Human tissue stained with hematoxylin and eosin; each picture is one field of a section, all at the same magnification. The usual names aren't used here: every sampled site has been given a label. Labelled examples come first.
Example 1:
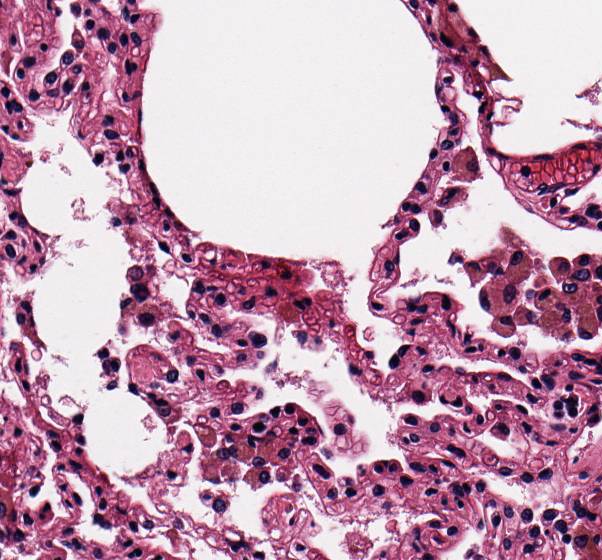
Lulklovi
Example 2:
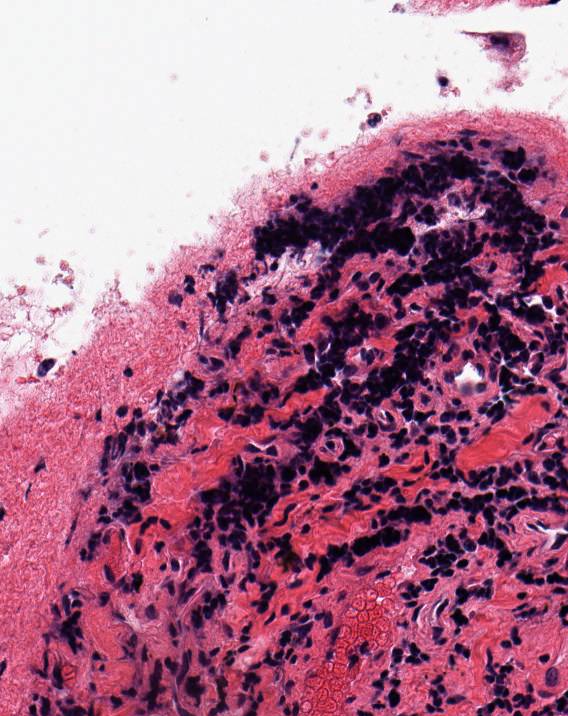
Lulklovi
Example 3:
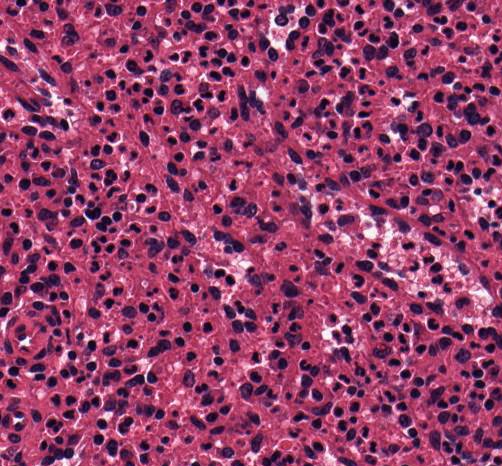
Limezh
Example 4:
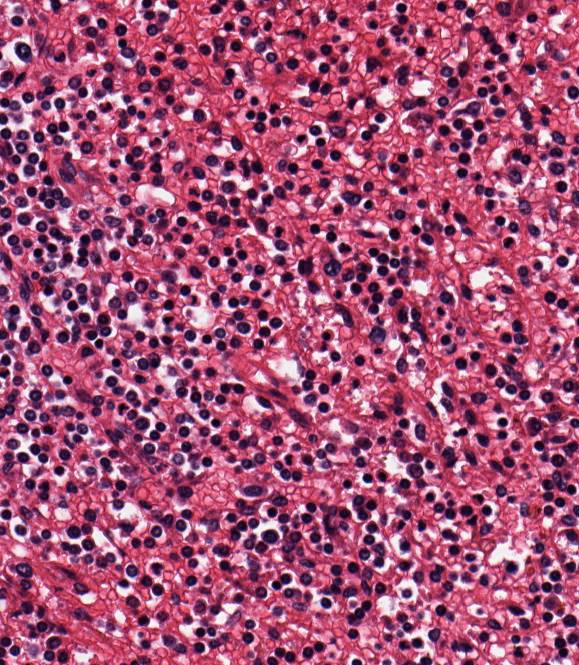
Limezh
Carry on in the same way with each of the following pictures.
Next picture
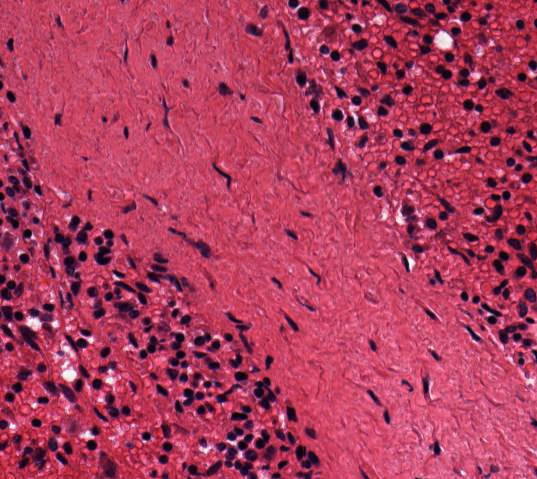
Limezh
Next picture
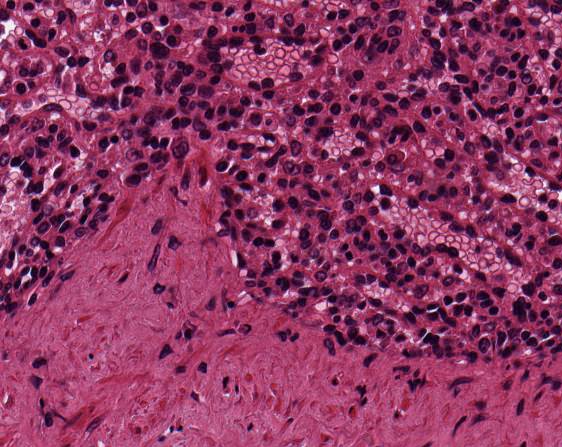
Limezh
